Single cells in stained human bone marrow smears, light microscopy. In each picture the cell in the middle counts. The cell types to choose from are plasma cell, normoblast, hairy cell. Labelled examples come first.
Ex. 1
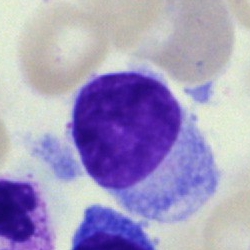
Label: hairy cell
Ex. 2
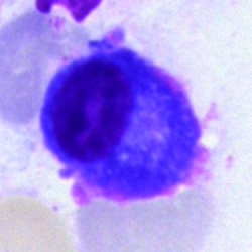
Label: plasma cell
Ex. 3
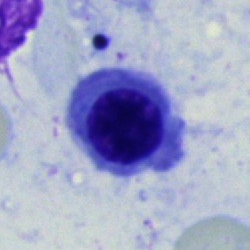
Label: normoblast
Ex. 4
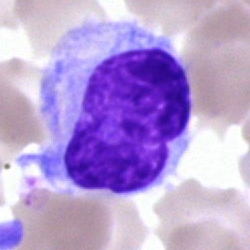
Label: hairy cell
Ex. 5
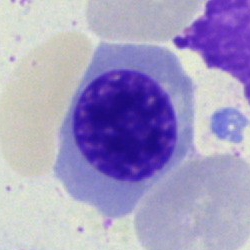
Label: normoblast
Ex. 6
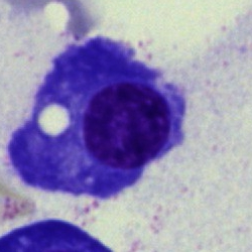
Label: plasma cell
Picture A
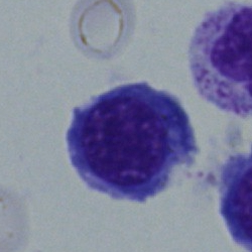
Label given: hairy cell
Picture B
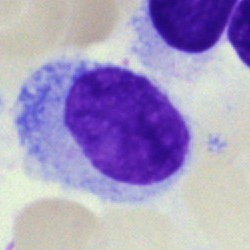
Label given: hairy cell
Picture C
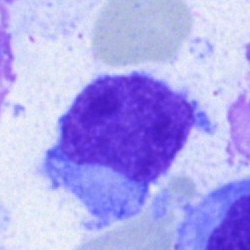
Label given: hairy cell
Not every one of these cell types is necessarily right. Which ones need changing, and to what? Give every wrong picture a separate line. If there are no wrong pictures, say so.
A should be normoblast, not hairy cell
